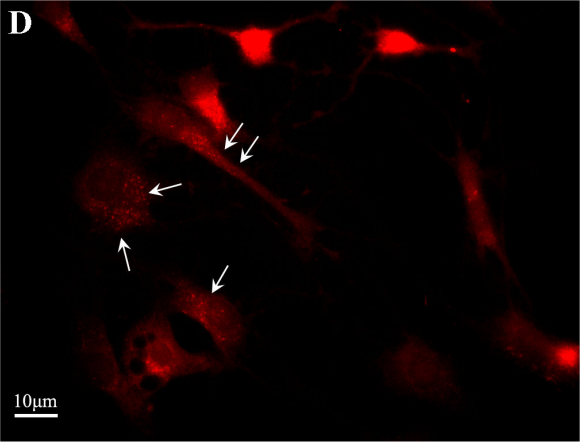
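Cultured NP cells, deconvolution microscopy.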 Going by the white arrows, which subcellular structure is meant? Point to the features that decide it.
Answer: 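Granules are scattered through the cell bodies and along a process.
Answer: vesicular distribution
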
